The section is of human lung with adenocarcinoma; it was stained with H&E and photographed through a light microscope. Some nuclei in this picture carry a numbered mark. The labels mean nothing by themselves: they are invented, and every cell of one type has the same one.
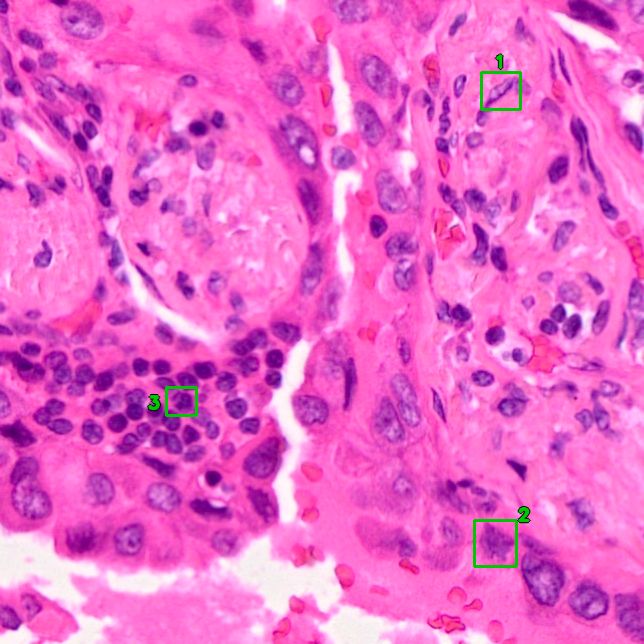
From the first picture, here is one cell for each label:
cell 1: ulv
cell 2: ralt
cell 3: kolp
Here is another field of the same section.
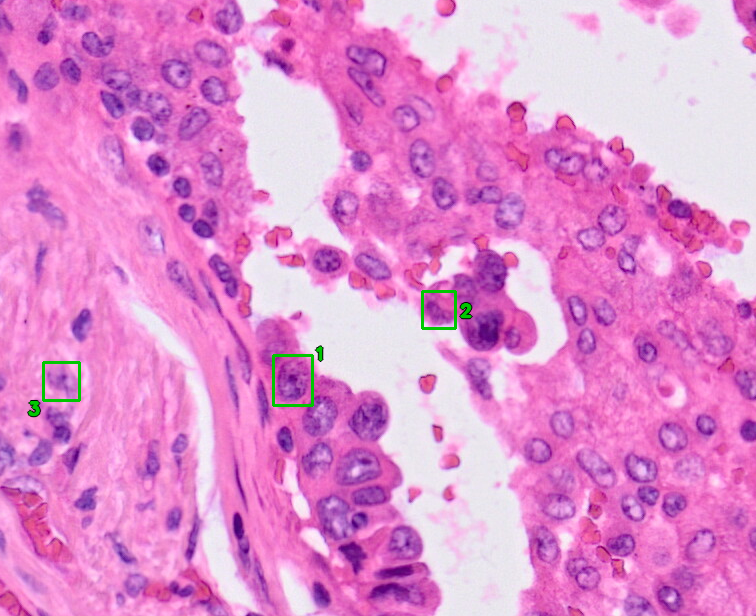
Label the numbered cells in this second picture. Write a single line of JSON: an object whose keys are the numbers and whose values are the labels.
{"1": "ralt", "2": "ralt", "3": "ulv"}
